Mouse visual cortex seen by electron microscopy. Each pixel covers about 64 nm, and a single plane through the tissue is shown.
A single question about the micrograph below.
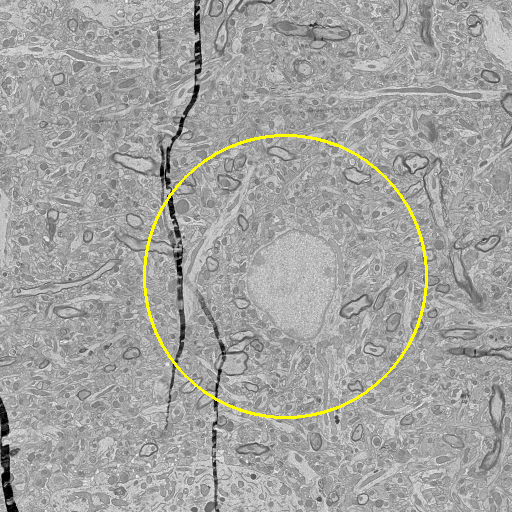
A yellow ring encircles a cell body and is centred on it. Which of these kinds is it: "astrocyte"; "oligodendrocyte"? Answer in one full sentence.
The cell body at the centre of the yellow ring belongs to an astrocyte.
